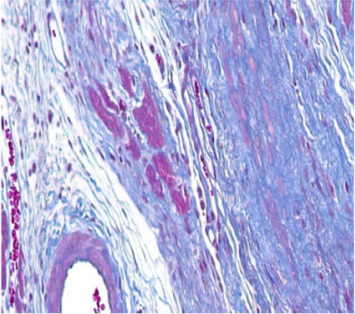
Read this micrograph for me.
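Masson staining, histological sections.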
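Scar tissue with small islands of myocytes: a few groups of red-stained elongated fibres lie among densely packed blue-stained fibrous matrix. A vessel with a layered wall is cut at the lower left, and red blood cells fill a vessel at the left edge. Scattered dark nuclei lie between the blue fibres.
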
